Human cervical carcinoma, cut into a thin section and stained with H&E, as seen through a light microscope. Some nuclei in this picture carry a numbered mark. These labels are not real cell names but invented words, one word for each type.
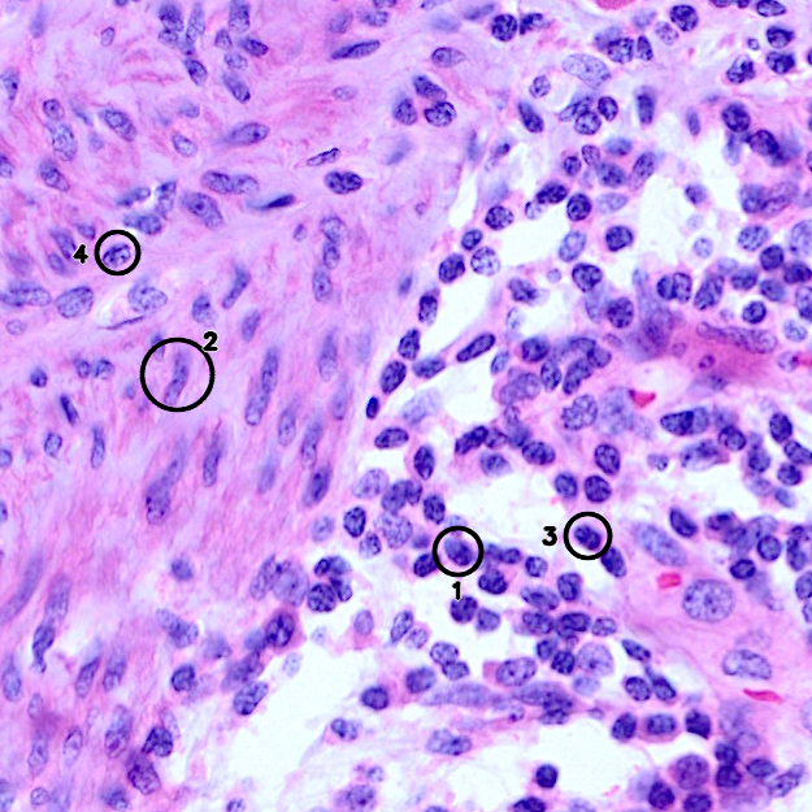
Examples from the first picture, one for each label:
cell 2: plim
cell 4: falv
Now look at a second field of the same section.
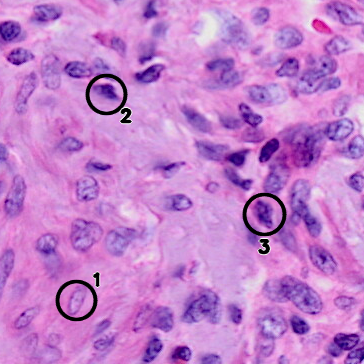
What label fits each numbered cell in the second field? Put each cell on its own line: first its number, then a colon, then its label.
1: plim
2: falv
3: falv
